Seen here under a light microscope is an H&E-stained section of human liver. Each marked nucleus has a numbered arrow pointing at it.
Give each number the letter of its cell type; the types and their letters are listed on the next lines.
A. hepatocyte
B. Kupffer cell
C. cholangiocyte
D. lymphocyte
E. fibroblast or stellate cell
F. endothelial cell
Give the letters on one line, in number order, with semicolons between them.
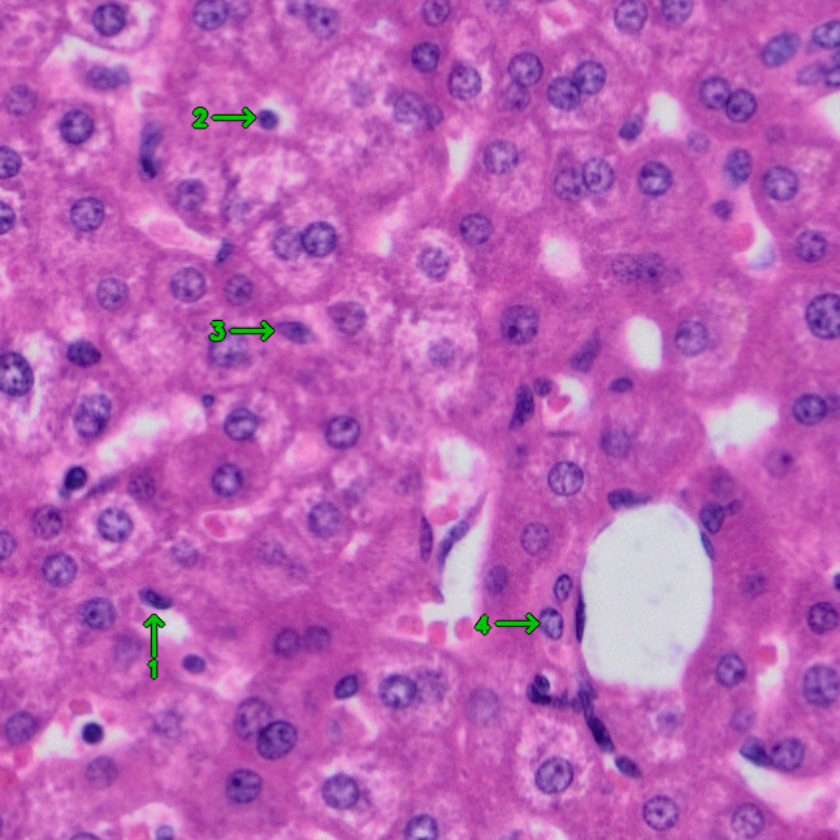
F; D; B; C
